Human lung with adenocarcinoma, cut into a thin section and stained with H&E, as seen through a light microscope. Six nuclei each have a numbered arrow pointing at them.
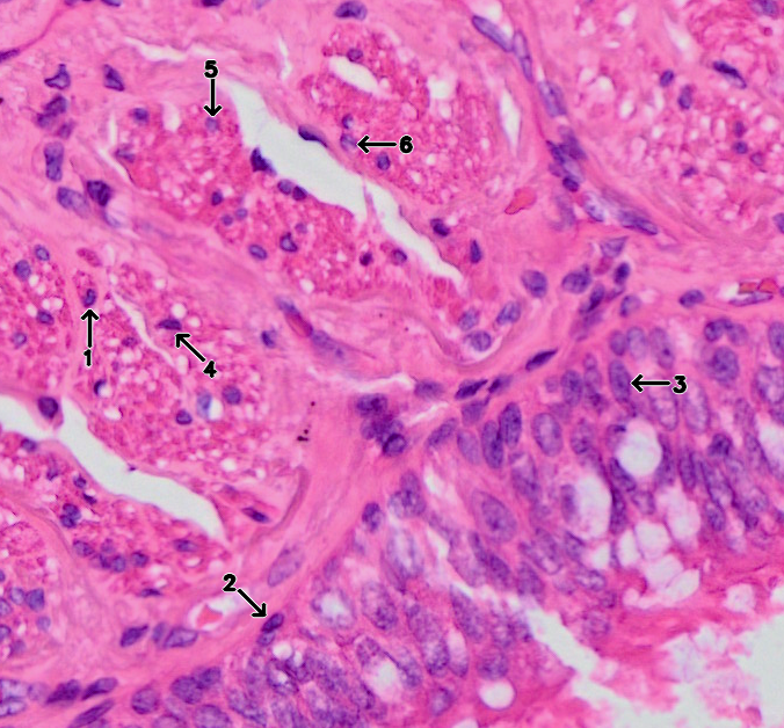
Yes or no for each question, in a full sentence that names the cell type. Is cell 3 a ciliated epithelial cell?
Yes, the numbered nucleus 3 is that of a ciliated epithelial cell.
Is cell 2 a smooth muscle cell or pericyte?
No, cell 2 is not a smooth muscle cell or pericyte; a ciliated epithelial cell is the correct identification.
